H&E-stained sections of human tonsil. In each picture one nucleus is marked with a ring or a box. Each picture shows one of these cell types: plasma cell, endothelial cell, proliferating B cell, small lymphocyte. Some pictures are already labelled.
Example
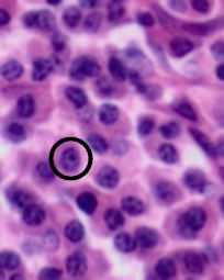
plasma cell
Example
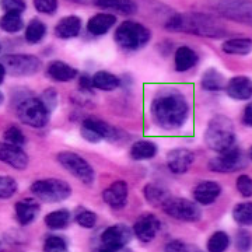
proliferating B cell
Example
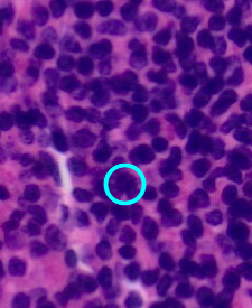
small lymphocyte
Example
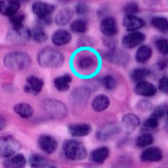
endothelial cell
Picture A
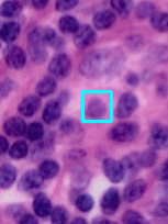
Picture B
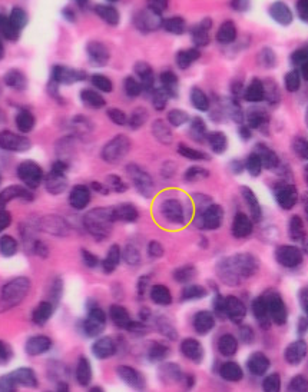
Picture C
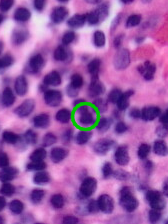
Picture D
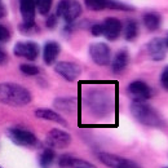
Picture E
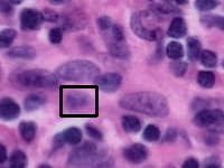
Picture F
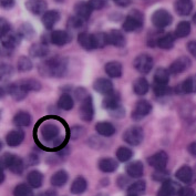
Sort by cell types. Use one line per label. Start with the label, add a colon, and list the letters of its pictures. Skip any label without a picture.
endothelial cell: A, B, D, E
small lymphocyte: C, F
